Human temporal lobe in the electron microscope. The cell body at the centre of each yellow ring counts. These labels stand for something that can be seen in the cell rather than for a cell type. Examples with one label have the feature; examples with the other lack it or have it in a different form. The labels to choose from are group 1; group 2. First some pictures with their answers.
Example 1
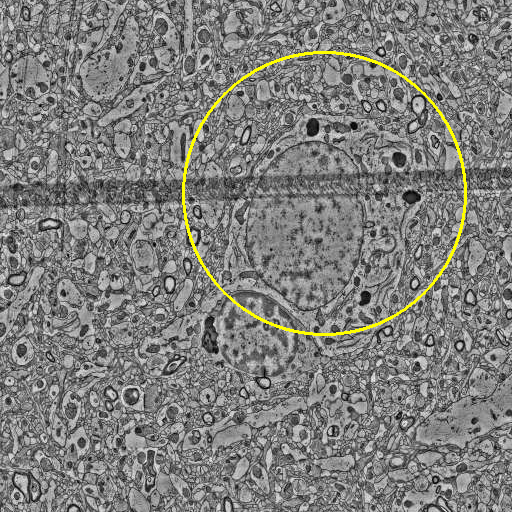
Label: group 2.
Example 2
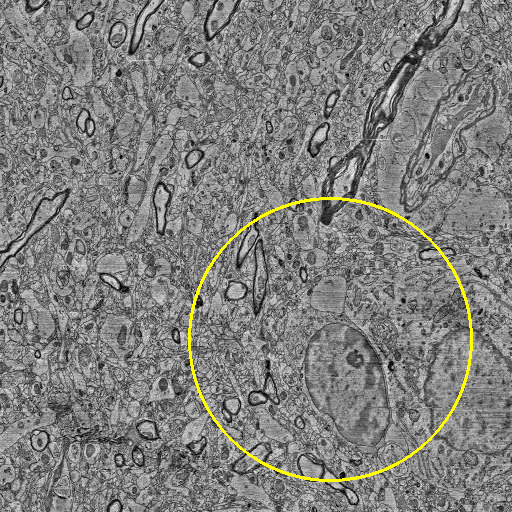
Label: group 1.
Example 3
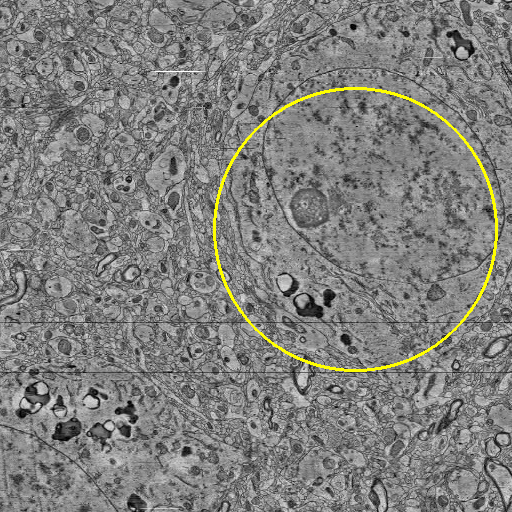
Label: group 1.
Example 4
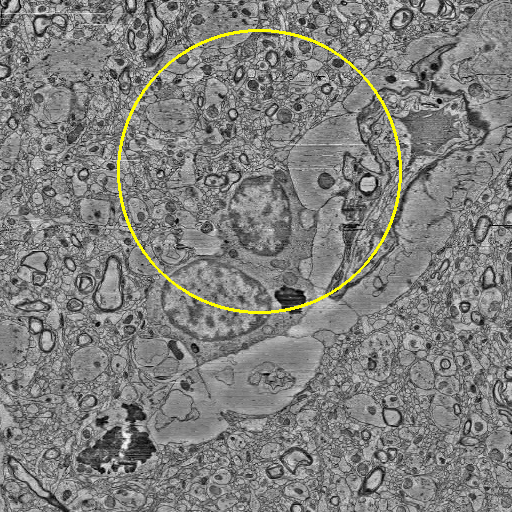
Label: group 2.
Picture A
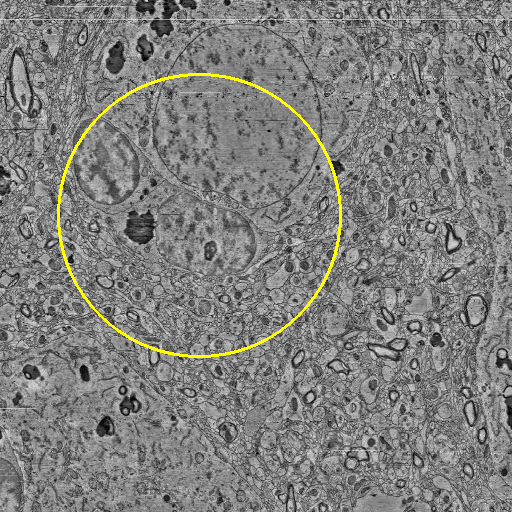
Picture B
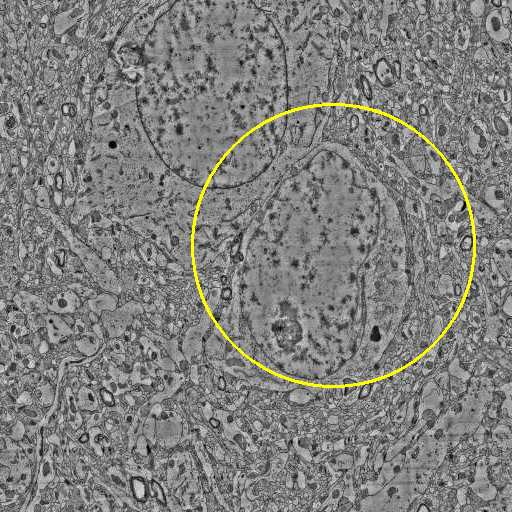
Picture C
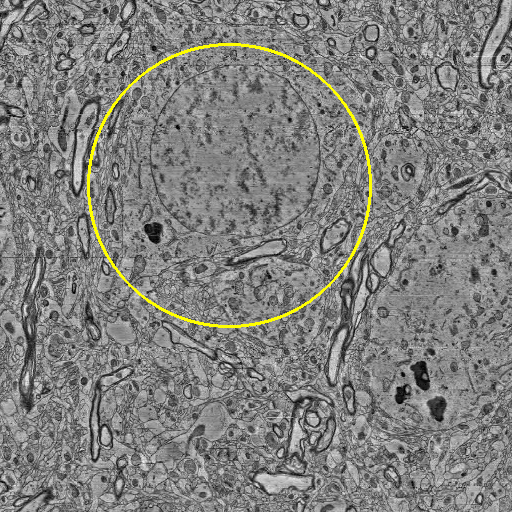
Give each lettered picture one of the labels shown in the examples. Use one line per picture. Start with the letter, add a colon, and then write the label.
A: group 1.
B: group 1.
C: group 2.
